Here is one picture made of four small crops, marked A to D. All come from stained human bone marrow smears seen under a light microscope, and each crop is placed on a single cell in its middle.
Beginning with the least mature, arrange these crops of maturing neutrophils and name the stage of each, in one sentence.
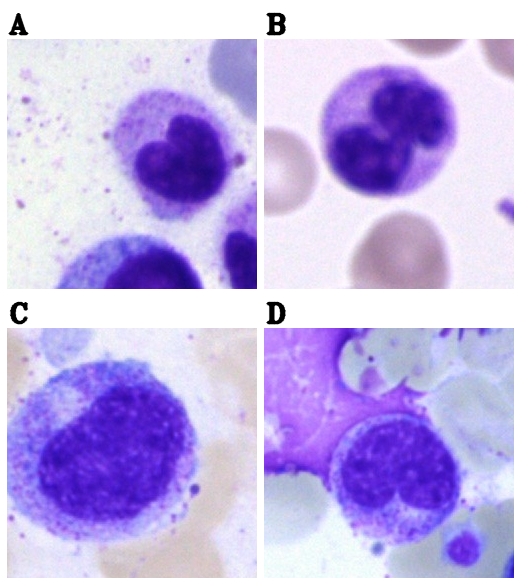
So the order, from least to most mature, is crop C (a myelocyte), crop D (a metamyelocyte), crop A (a band neutrophil) and crop B (a segmented neutrophil).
